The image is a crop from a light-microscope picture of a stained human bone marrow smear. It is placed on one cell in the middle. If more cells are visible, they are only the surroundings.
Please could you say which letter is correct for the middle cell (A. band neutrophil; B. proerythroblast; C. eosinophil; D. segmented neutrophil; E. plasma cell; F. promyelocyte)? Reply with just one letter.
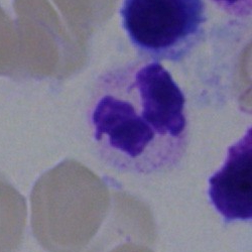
D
